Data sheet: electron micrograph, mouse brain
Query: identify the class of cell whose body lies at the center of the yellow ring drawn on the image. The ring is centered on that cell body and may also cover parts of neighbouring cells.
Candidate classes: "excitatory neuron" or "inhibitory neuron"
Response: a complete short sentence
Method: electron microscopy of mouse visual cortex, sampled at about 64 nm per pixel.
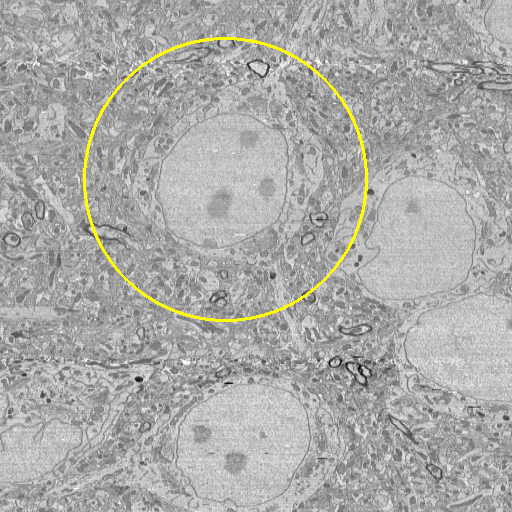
At the center of the ring lies an excitatory neuron.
